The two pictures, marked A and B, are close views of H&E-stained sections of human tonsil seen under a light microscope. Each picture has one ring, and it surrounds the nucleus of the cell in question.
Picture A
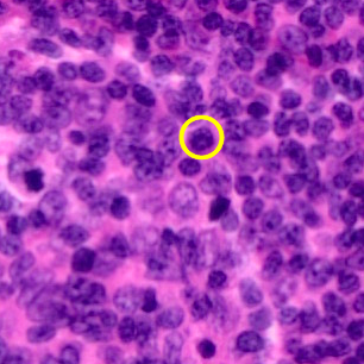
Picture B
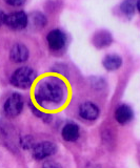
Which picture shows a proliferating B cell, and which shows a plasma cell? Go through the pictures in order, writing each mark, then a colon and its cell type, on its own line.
A: proliferating B cell
B: plasma cell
